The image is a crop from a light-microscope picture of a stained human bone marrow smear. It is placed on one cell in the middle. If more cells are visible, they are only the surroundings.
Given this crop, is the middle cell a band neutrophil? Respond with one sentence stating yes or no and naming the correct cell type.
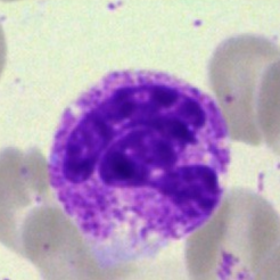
No, that would be a segmented neutrophil, not a band neutrophil, for the cell at the centre.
